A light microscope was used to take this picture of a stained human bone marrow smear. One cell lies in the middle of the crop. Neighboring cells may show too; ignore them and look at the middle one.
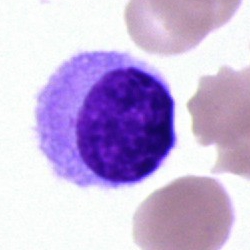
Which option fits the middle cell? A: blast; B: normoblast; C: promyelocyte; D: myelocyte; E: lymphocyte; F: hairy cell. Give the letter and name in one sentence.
Option F gets it right: the cell in the middle is a hairy cell.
